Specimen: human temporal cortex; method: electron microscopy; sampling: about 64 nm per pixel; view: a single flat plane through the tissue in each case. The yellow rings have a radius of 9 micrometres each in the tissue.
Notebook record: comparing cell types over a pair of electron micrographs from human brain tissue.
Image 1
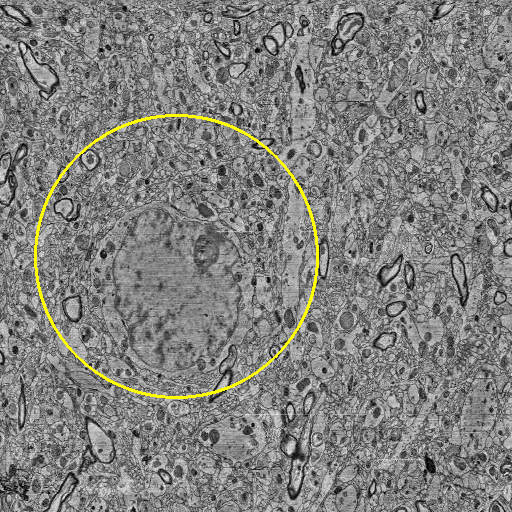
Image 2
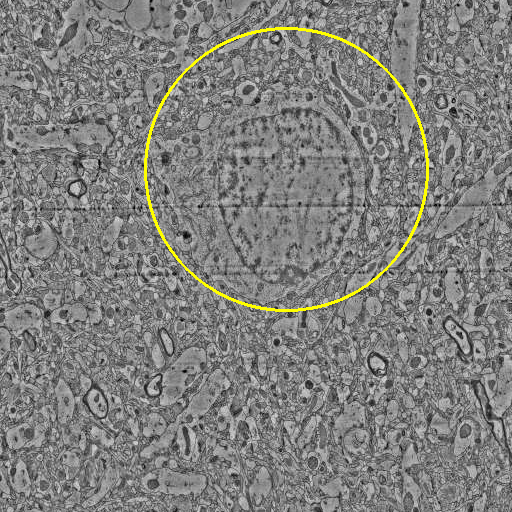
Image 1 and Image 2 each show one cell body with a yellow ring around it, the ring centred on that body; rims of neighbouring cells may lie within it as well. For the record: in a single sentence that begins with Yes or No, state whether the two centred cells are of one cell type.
Yes, one cell type is shared by the centred cells of Image 1 and Image 2.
